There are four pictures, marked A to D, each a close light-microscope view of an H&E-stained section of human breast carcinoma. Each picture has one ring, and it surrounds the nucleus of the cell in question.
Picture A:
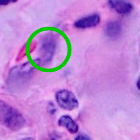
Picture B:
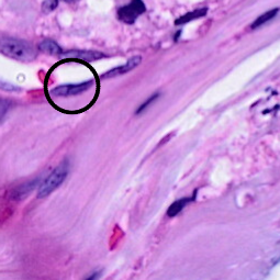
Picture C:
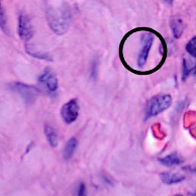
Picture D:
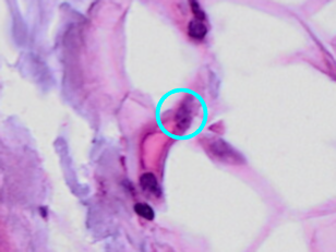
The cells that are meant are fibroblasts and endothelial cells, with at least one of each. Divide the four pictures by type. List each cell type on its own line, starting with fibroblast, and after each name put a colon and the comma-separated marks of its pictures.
fibroblast: C
endothelial cell: A, B, D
